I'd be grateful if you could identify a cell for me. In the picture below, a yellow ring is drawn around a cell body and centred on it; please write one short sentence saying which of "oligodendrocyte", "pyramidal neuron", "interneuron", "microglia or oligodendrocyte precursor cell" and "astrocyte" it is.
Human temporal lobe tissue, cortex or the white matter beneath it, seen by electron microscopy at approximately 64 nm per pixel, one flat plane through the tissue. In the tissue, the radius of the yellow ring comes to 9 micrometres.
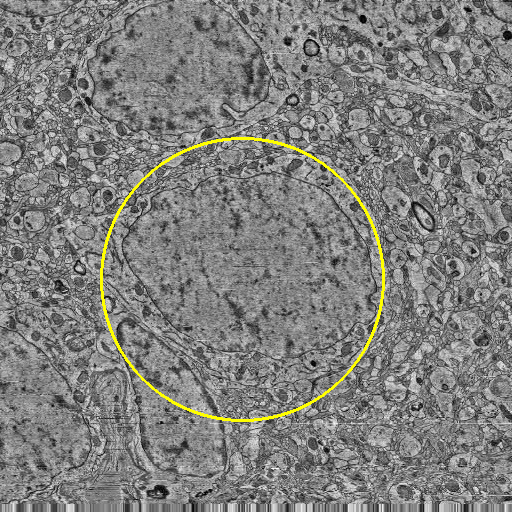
The cell under the ring's centre is a pyramidal neuron.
